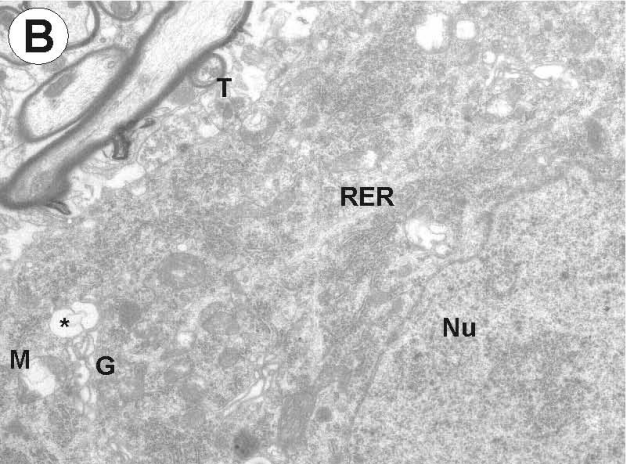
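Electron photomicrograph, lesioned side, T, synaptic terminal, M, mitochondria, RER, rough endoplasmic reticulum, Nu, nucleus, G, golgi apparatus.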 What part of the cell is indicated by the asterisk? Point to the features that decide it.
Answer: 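The asterisk sits on a round, empty, electron-lucent profile within the cytoplasm. Similar clear rounded spaces lie next to it.
Answer: vacuoles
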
